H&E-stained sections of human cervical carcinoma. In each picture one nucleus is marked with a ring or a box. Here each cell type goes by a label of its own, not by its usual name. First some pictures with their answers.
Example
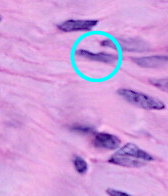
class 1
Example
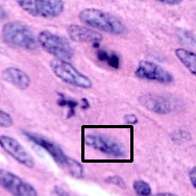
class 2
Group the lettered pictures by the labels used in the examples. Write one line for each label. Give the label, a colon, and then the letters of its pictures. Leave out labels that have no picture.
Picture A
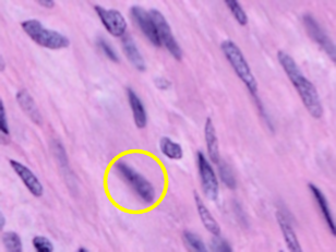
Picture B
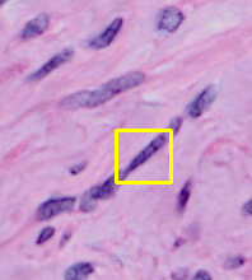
class 1: A, B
